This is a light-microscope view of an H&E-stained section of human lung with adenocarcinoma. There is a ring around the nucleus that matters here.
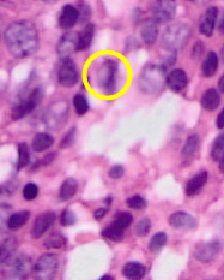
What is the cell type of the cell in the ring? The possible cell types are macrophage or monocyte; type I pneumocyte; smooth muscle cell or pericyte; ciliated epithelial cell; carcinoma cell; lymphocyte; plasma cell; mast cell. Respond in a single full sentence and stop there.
Recorded by type, the cell in the ring is a ciliated epithelial cell.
